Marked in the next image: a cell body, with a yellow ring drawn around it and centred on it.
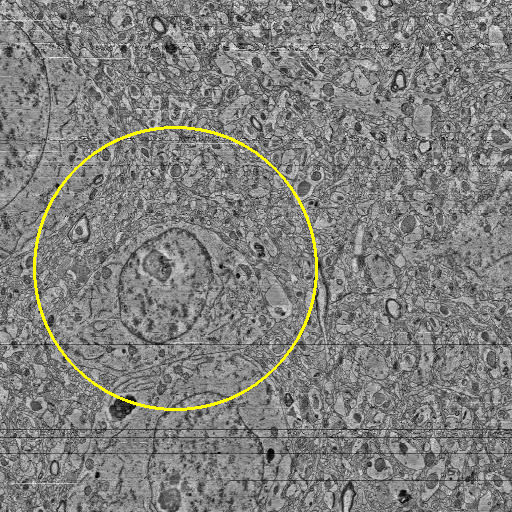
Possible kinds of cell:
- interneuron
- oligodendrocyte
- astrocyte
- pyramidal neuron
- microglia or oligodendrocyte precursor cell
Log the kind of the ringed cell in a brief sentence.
The ringed cell body is that of a pyramidal neuron.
